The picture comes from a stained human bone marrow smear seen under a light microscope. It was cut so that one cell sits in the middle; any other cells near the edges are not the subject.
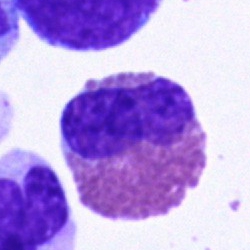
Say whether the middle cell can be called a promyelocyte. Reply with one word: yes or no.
no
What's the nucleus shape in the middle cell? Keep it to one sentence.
Round, oval or kidney-shaped, the nucleus is one compact mass.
